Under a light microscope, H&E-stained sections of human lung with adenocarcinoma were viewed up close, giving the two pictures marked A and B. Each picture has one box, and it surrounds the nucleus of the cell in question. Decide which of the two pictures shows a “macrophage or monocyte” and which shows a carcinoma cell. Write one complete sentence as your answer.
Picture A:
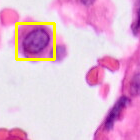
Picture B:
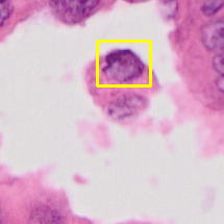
Picture A shows a “macrophage or monocyte” and picture B shows a carcinoma cell.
